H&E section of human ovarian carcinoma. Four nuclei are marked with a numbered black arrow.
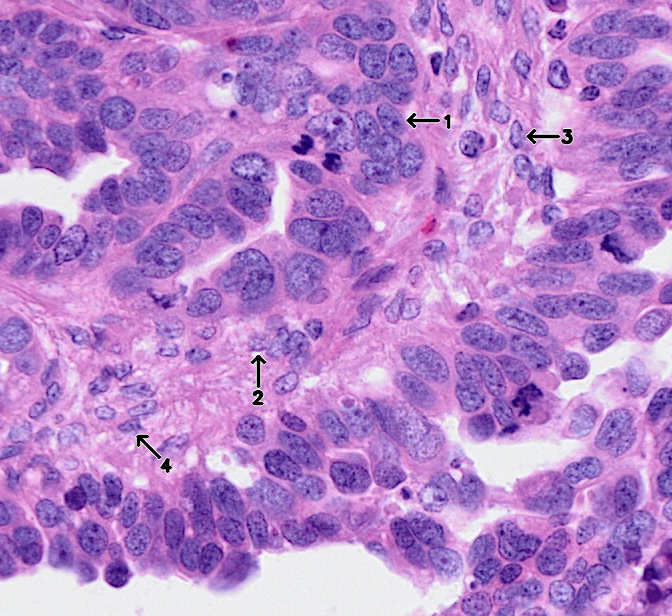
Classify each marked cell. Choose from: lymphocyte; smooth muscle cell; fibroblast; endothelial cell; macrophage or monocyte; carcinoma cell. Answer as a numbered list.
1. carcinoma cell
2. fibroblast
3. fibroblast
4. fibroblast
